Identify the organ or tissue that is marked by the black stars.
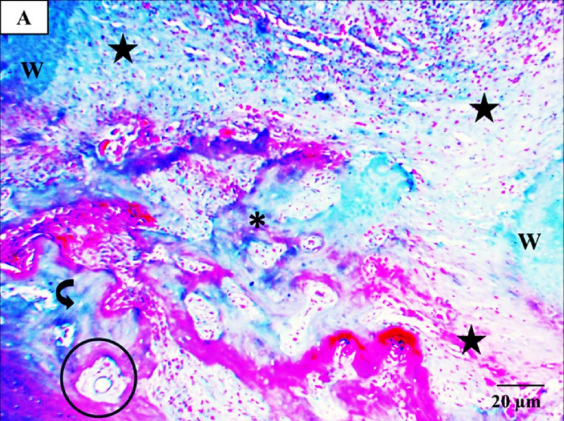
fibrovascular granulation tissue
